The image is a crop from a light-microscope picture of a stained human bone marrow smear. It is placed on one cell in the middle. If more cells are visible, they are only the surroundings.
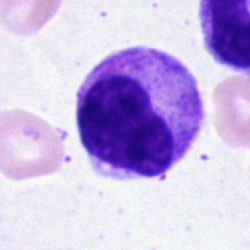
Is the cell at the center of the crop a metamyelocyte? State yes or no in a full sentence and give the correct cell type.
Yes, that is right: the middle cell is a metamyelocyte.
